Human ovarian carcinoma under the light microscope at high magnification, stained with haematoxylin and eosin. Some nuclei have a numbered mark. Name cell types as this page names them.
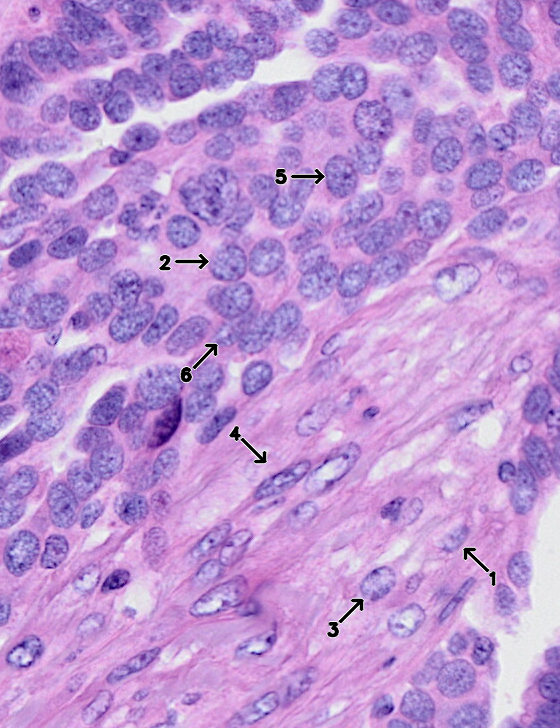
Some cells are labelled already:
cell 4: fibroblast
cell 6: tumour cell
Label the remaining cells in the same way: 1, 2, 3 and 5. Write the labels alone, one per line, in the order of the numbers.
fibroblast
tumour cell
fibroblast
tumour cell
